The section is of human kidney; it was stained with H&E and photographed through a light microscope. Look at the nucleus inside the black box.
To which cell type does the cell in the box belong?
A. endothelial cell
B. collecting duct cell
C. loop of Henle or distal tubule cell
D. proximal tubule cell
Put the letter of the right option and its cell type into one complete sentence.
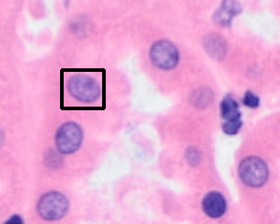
It is correct to say that the cell in the box is a proximal tubule cell, as option D does.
